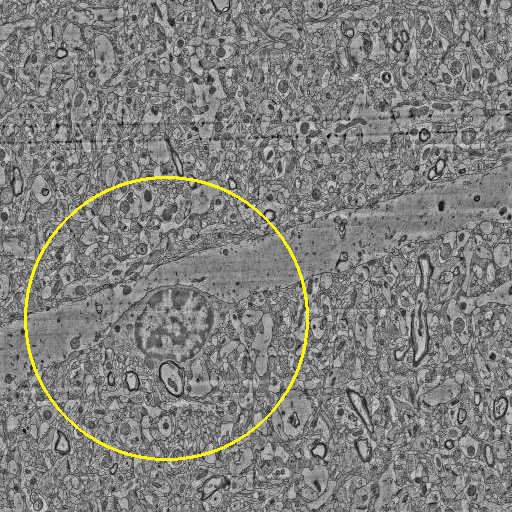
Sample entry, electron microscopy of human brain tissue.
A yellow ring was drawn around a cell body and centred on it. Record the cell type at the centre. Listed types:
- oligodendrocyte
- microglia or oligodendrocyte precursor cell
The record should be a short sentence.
The cell at the ring's centre is an oligodendrocyte.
